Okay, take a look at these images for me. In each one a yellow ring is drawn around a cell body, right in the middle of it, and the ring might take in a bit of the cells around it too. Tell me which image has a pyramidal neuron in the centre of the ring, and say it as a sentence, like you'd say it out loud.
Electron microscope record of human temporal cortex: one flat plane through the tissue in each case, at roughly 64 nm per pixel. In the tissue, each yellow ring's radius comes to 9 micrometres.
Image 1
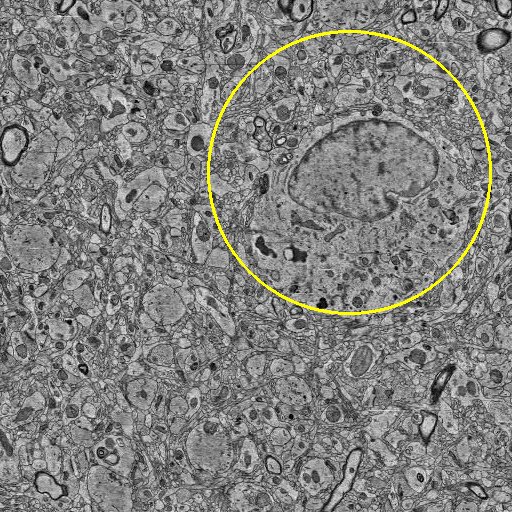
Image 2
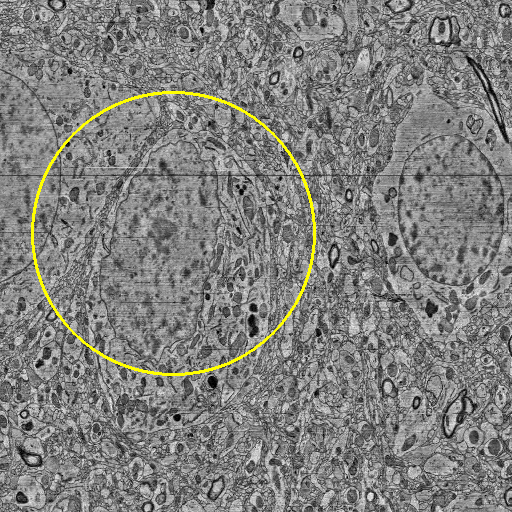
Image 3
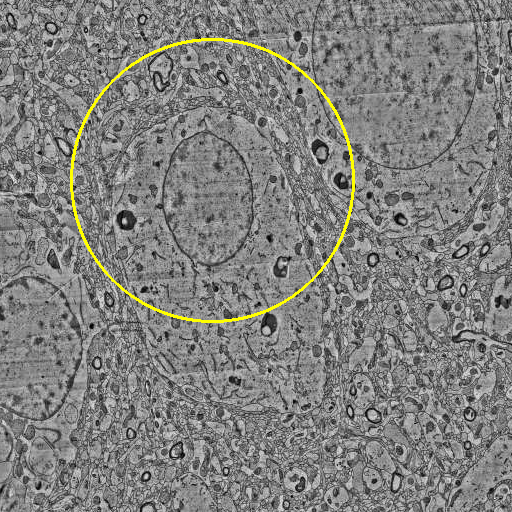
Image 3 is the one with it in the centre of the ring.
